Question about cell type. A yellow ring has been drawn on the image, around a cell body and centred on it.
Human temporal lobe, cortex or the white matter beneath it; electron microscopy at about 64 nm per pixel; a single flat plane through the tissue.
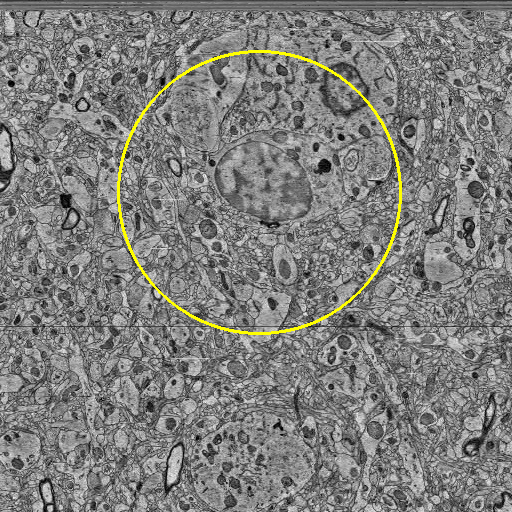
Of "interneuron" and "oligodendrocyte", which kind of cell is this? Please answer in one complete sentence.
At the centre of the ring lies an oligodendrocyte.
